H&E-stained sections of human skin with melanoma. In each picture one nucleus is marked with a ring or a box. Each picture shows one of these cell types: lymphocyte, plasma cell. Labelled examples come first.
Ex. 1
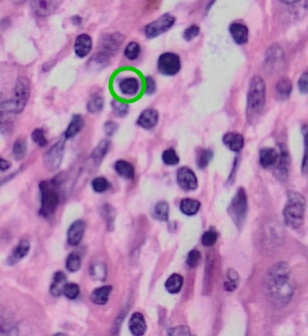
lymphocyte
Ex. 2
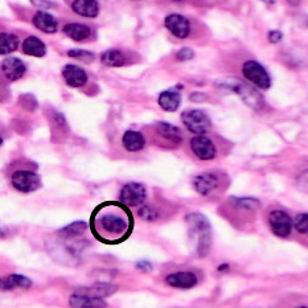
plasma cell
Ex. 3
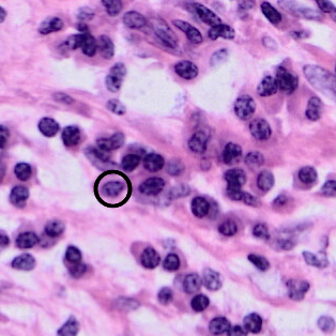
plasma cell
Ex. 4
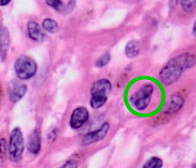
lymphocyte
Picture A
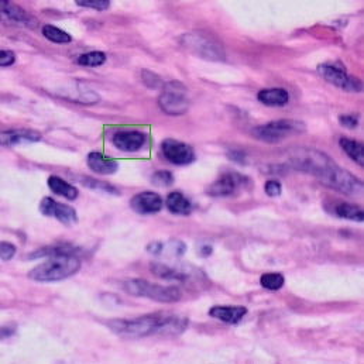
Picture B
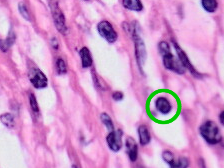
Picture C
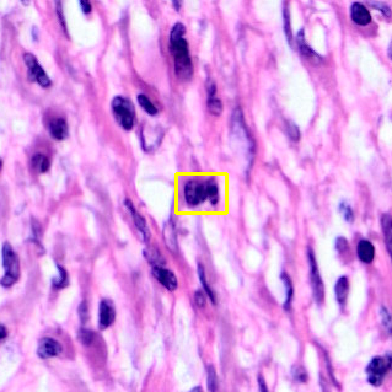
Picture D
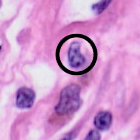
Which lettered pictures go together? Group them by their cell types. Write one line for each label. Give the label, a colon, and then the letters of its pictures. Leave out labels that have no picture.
lymphocyte: B, D
plasma cell: A, C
